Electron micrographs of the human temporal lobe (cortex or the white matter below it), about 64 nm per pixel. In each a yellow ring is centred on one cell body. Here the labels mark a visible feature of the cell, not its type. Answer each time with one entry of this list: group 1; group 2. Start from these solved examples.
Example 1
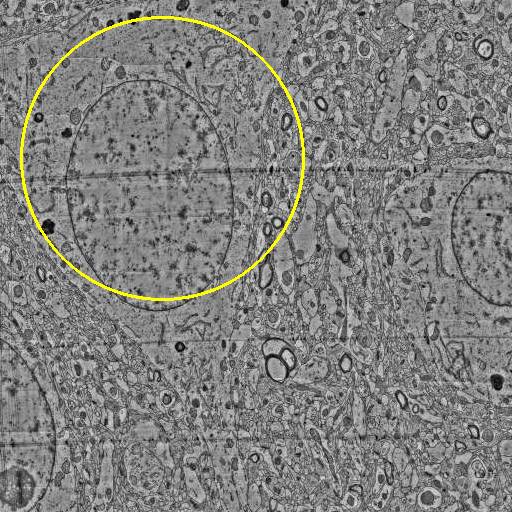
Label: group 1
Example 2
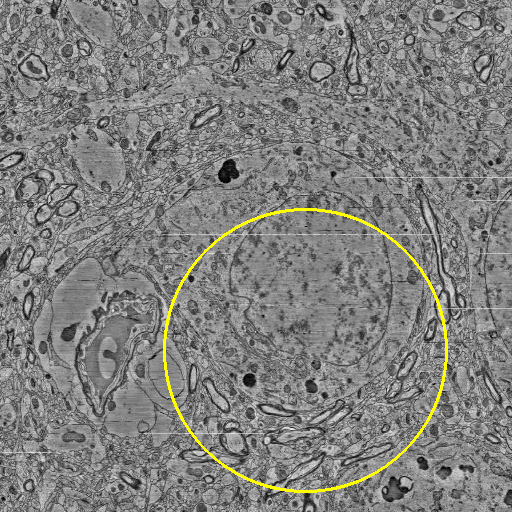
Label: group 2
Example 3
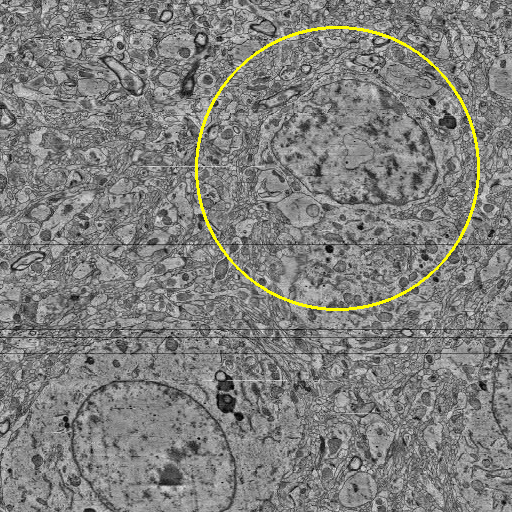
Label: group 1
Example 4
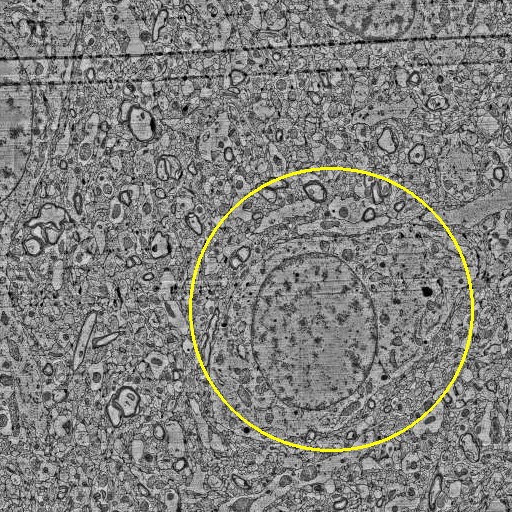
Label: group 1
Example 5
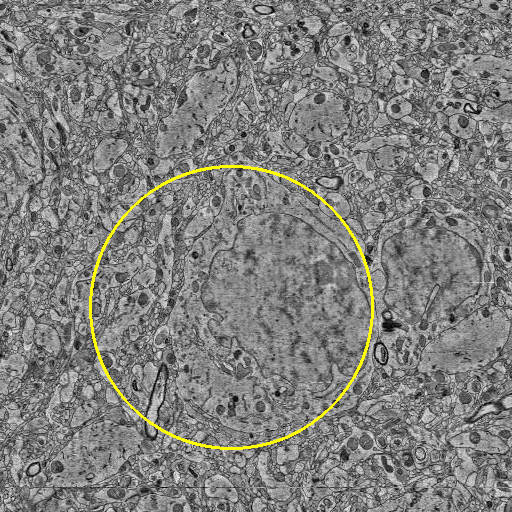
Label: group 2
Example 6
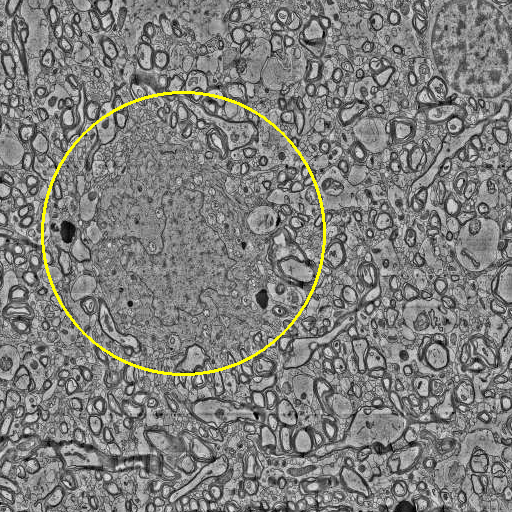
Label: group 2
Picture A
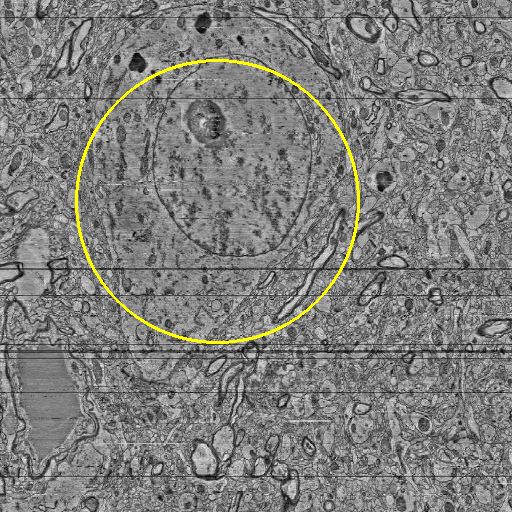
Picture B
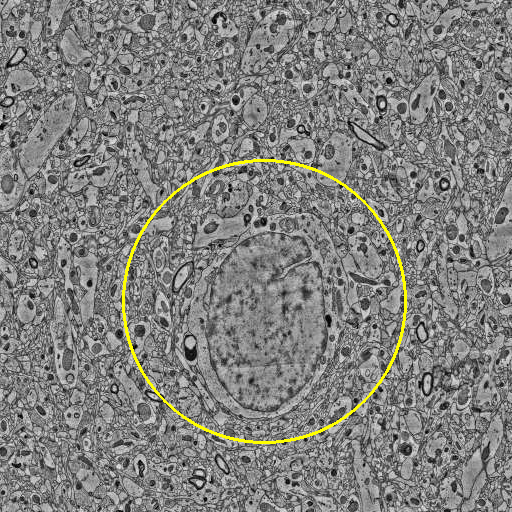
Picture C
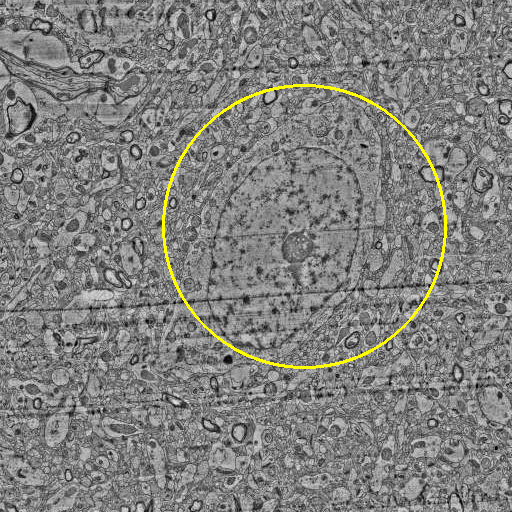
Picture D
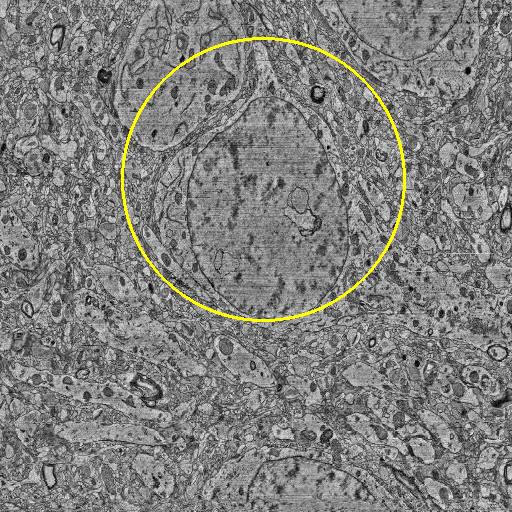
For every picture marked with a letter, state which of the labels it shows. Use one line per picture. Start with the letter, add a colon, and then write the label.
A: group 1
B: group 2
C: group 1
D: group 1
